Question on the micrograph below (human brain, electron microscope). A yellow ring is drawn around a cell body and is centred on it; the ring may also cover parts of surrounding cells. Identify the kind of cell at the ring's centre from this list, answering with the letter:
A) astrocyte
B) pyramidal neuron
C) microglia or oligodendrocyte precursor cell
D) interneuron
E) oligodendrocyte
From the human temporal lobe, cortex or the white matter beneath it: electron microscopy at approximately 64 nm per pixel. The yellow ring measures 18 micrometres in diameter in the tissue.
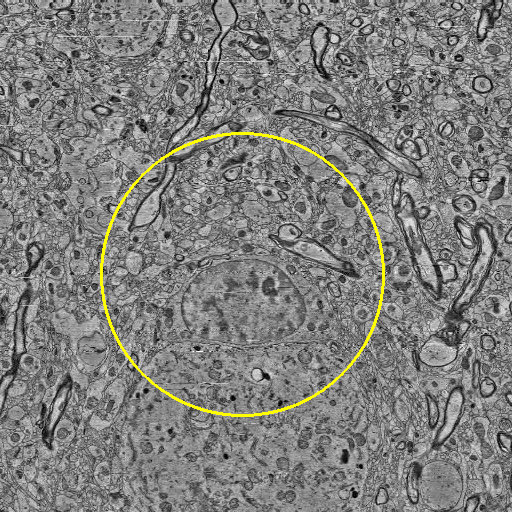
E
